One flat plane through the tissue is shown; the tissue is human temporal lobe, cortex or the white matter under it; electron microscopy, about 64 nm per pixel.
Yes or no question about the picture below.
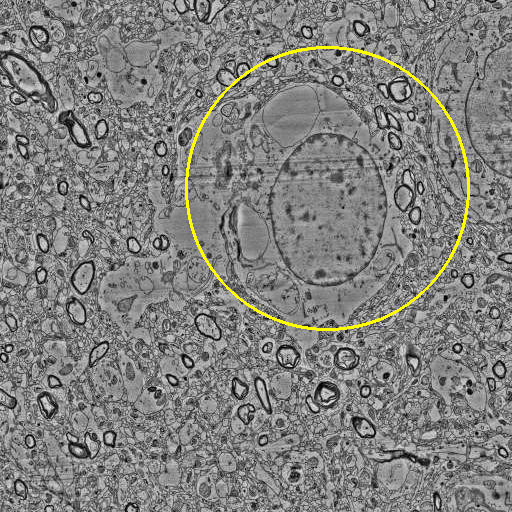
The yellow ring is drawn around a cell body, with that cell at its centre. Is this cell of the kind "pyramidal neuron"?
no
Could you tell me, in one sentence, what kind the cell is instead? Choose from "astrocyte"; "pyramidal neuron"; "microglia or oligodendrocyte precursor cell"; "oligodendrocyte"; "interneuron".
The cell circled by the yellow ring is an astrocyte.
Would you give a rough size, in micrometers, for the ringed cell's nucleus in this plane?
In this plane, about 10 micrometres in length and 7 in width.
